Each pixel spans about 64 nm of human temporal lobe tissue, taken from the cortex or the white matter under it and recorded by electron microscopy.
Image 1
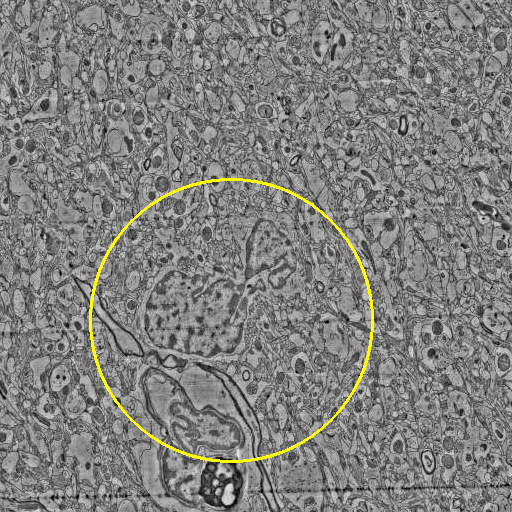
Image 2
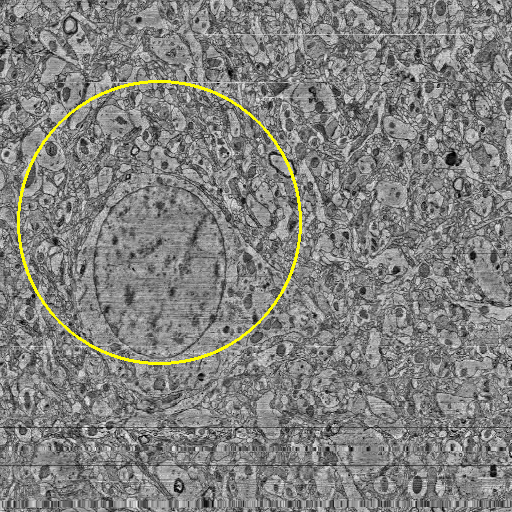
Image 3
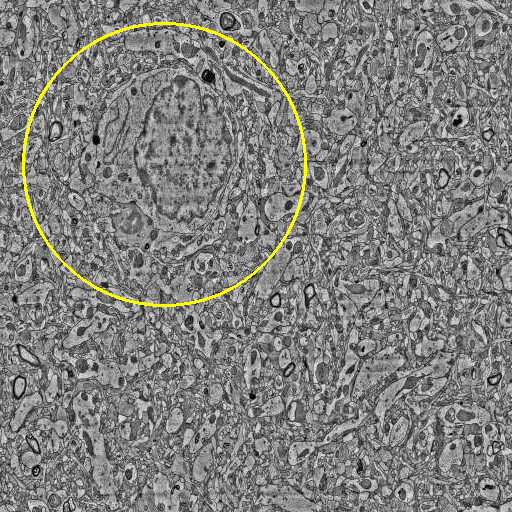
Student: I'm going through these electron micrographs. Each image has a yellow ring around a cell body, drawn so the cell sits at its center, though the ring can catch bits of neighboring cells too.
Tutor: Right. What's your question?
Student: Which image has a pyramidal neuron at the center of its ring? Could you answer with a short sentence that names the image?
Image 2 shows it at the center of its ring.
